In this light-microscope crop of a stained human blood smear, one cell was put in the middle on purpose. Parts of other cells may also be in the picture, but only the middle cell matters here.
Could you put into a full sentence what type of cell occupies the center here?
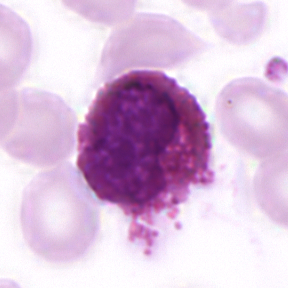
For this crop, the cell in the middle is an eosinophil.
